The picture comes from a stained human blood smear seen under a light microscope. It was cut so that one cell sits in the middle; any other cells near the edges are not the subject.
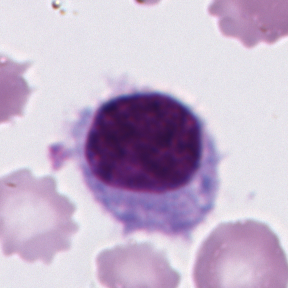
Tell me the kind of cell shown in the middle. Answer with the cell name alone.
hairy cell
